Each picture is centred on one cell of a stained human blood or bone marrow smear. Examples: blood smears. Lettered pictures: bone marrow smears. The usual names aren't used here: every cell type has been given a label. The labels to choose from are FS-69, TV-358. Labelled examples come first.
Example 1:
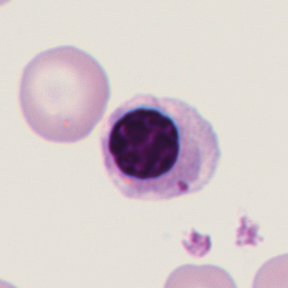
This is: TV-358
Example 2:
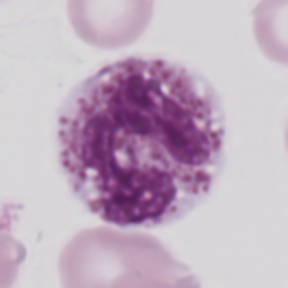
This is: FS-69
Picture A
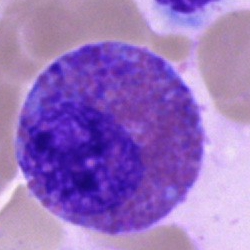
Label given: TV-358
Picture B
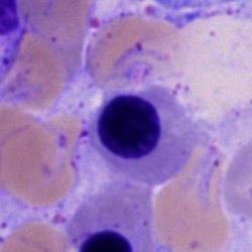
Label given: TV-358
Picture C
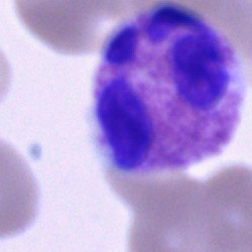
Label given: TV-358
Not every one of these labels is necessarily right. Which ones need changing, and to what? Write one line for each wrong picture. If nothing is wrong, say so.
Wrong: A (TV-358); correct: FS-69
Wrong: C (TV-358); correct: FS-69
